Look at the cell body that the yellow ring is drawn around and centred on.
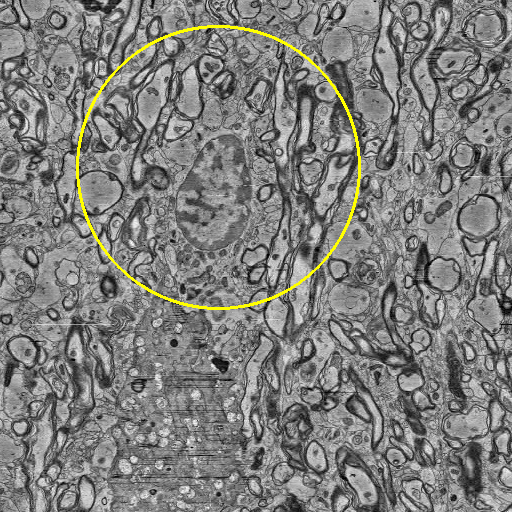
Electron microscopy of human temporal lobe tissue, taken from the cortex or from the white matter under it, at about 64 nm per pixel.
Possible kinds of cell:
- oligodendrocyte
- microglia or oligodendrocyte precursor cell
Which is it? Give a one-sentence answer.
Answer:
The centred cell body is that of a microglial cell or oligodendrocyte precursor cell.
